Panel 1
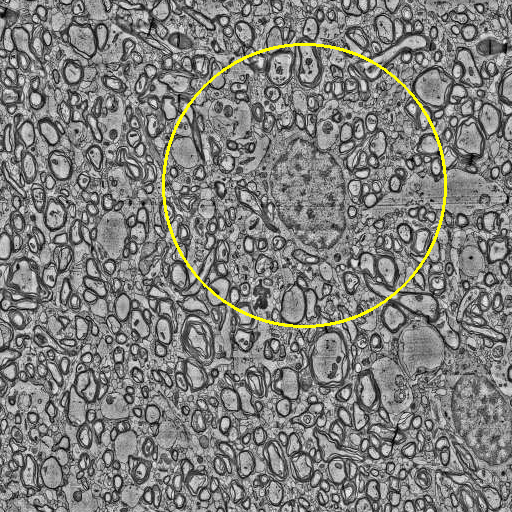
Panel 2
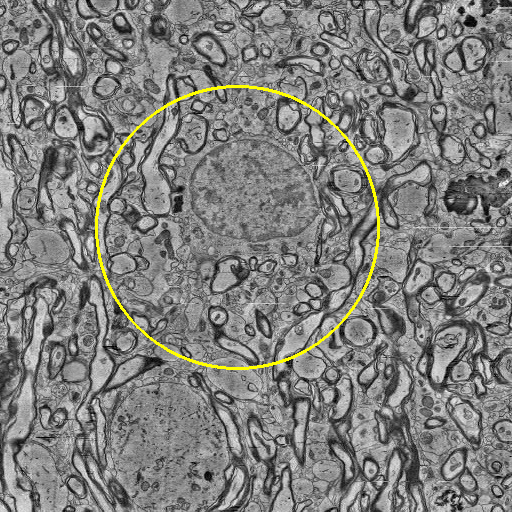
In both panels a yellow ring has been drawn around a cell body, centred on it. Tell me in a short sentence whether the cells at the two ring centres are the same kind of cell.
Yes, they are the same kind of cell.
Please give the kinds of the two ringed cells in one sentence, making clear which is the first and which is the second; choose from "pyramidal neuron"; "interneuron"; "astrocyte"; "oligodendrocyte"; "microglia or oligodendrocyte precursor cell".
In the first picture and in the second, the ring is centred on an oligodendrocyte.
